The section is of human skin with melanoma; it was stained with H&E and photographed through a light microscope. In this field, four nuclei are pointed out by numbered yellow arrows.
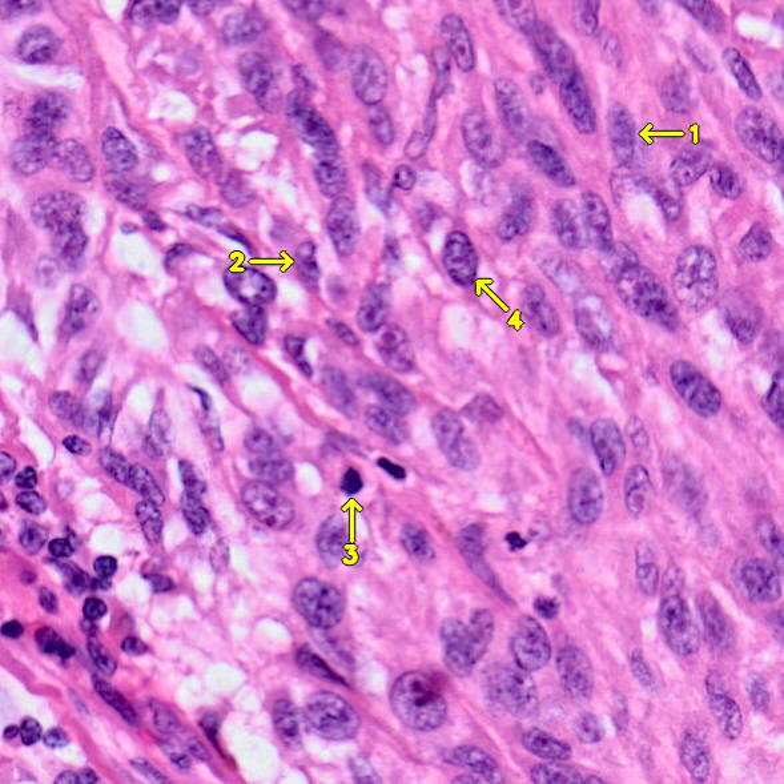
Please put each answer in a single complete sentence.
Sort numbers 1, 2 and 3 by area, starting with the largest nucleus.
Largest first, the order by area is 1, 2, 3.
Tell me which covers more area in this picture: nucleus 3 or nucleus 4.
The larger nucleus is 4, at roughly 2 times the area of 3.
